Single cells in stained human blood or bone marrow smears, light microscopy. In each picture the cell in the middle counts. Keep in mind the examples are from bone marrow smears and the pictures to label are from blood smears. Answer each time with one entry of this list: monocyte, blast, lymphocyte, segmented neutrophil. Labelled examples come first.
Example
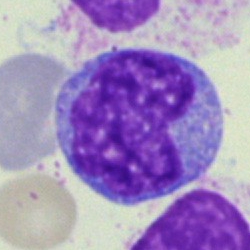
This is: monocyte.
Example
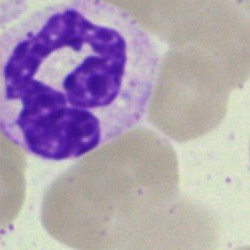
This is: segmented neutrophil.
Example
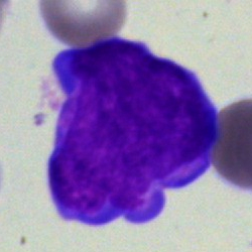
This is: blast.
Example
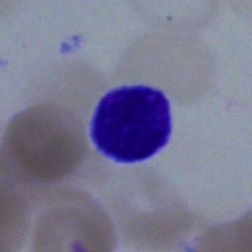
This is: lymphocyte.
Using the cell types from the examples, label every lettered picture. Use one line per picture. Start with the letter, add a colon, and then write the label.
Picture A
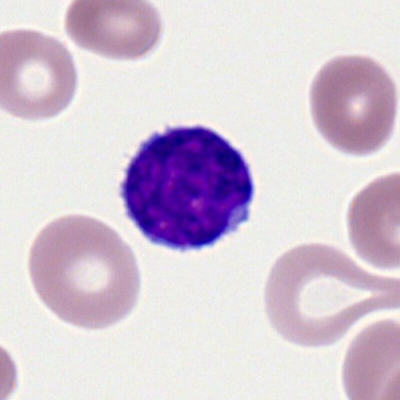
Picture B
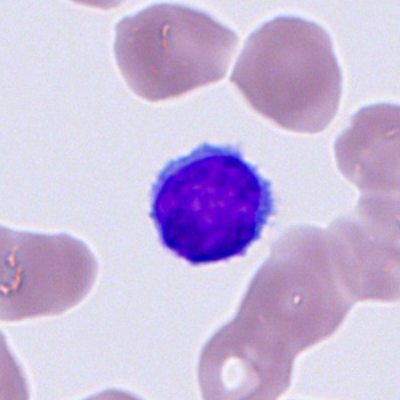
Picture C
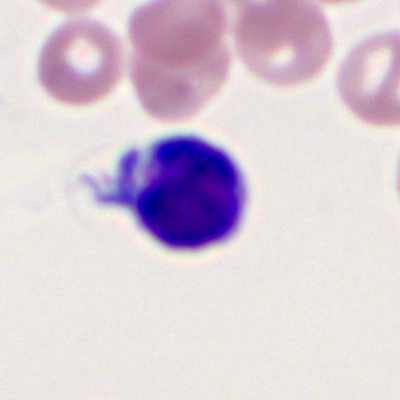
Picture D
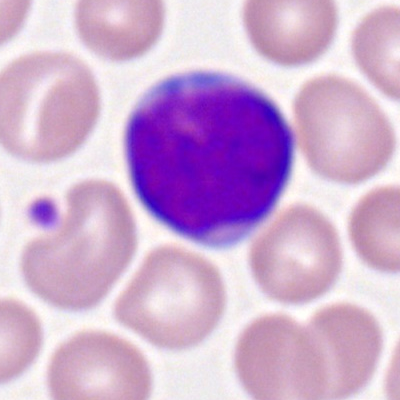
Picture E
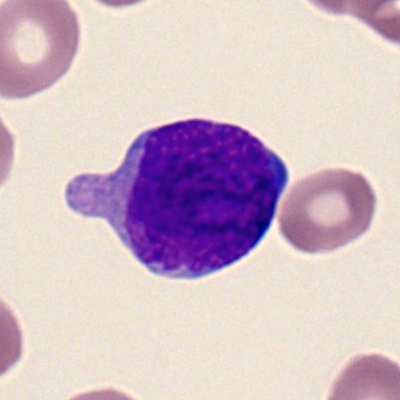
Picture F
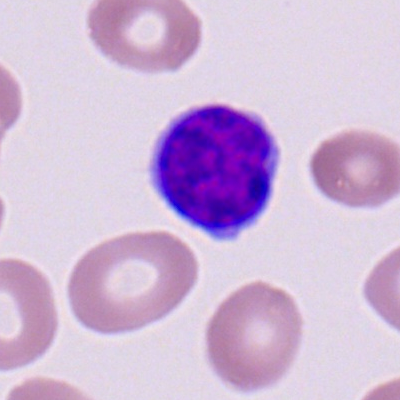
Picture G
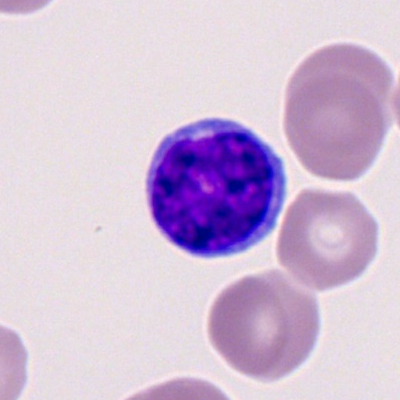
A: lymphocyte.
B: lymphocyte.
C: lymphocyte.
D: blast.
E: blast.
F: lymphocyte.
G: lymphocyte.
